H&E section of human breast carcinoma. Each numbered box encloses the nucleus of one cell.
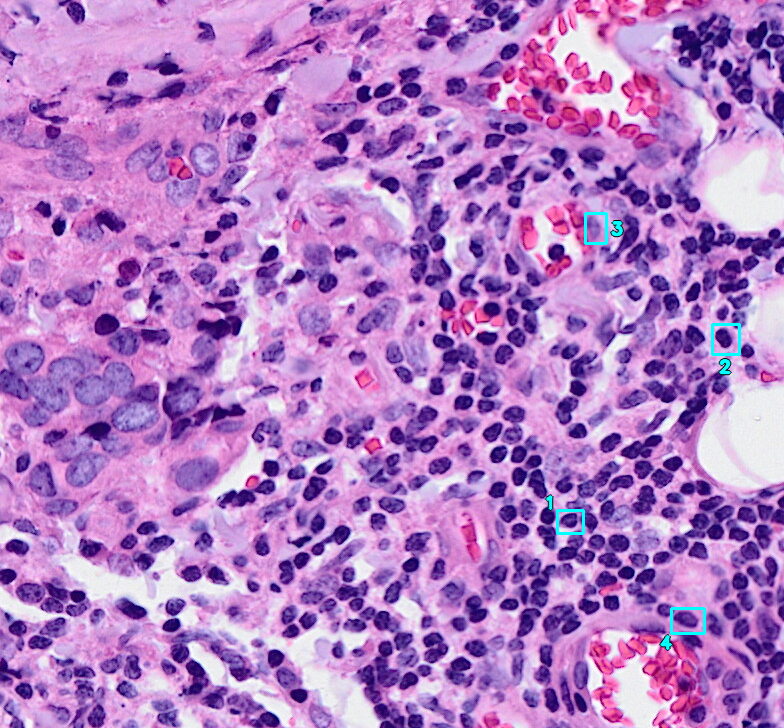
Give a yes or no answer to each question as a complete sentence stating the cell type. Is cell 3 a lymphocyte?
No, cell 3, which is an endothelial cell, is not a lymphocyte.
